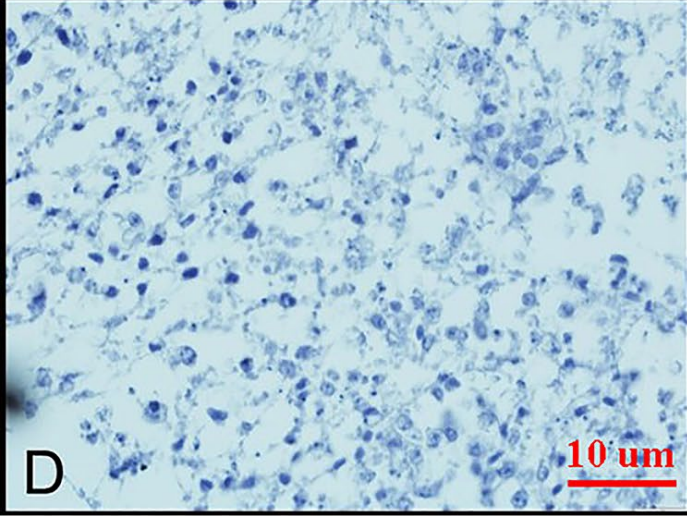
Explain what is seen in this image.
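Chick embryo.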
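This is loose embryonic tissue made of many scattered cells in a pale, open, web-like background. The cells are small and lie at uneven density, with denser clusters in some areas and clear spaces between them. A number of nuclei stain deep blue and look compact. Other cells are paler and have a visible outline around a lighter centre. No organised layers or vessel walls can be made out.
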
